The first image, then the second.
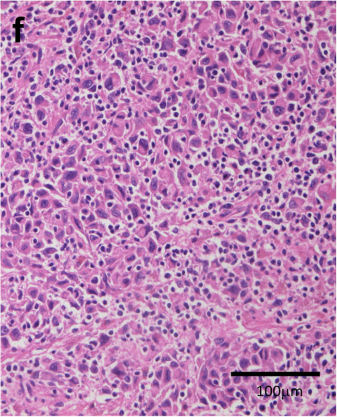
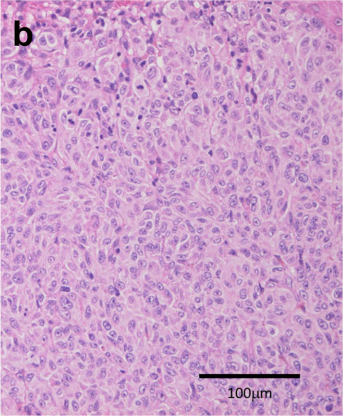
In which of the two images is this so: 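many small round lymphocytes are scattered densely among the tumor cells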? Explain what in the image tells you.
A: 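Second image: mostly large pleomorphic tumor cells, few small dark round nuclei. First image: many small dark round nuclei crowd between the larger tumor cells. That points to this answer: the first image.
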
